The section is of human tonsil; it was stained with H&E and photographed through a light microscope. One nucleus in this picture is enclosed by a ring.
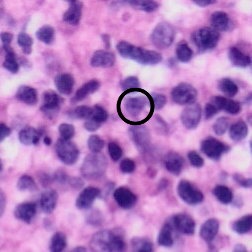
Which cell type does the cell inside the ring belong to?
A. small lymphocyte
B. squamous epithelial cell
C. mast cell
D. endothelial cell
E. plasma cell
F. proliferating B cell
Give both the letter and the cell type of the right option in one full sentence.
What option F states, that the cell inside the ring is a proliferating B cell, is correct.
